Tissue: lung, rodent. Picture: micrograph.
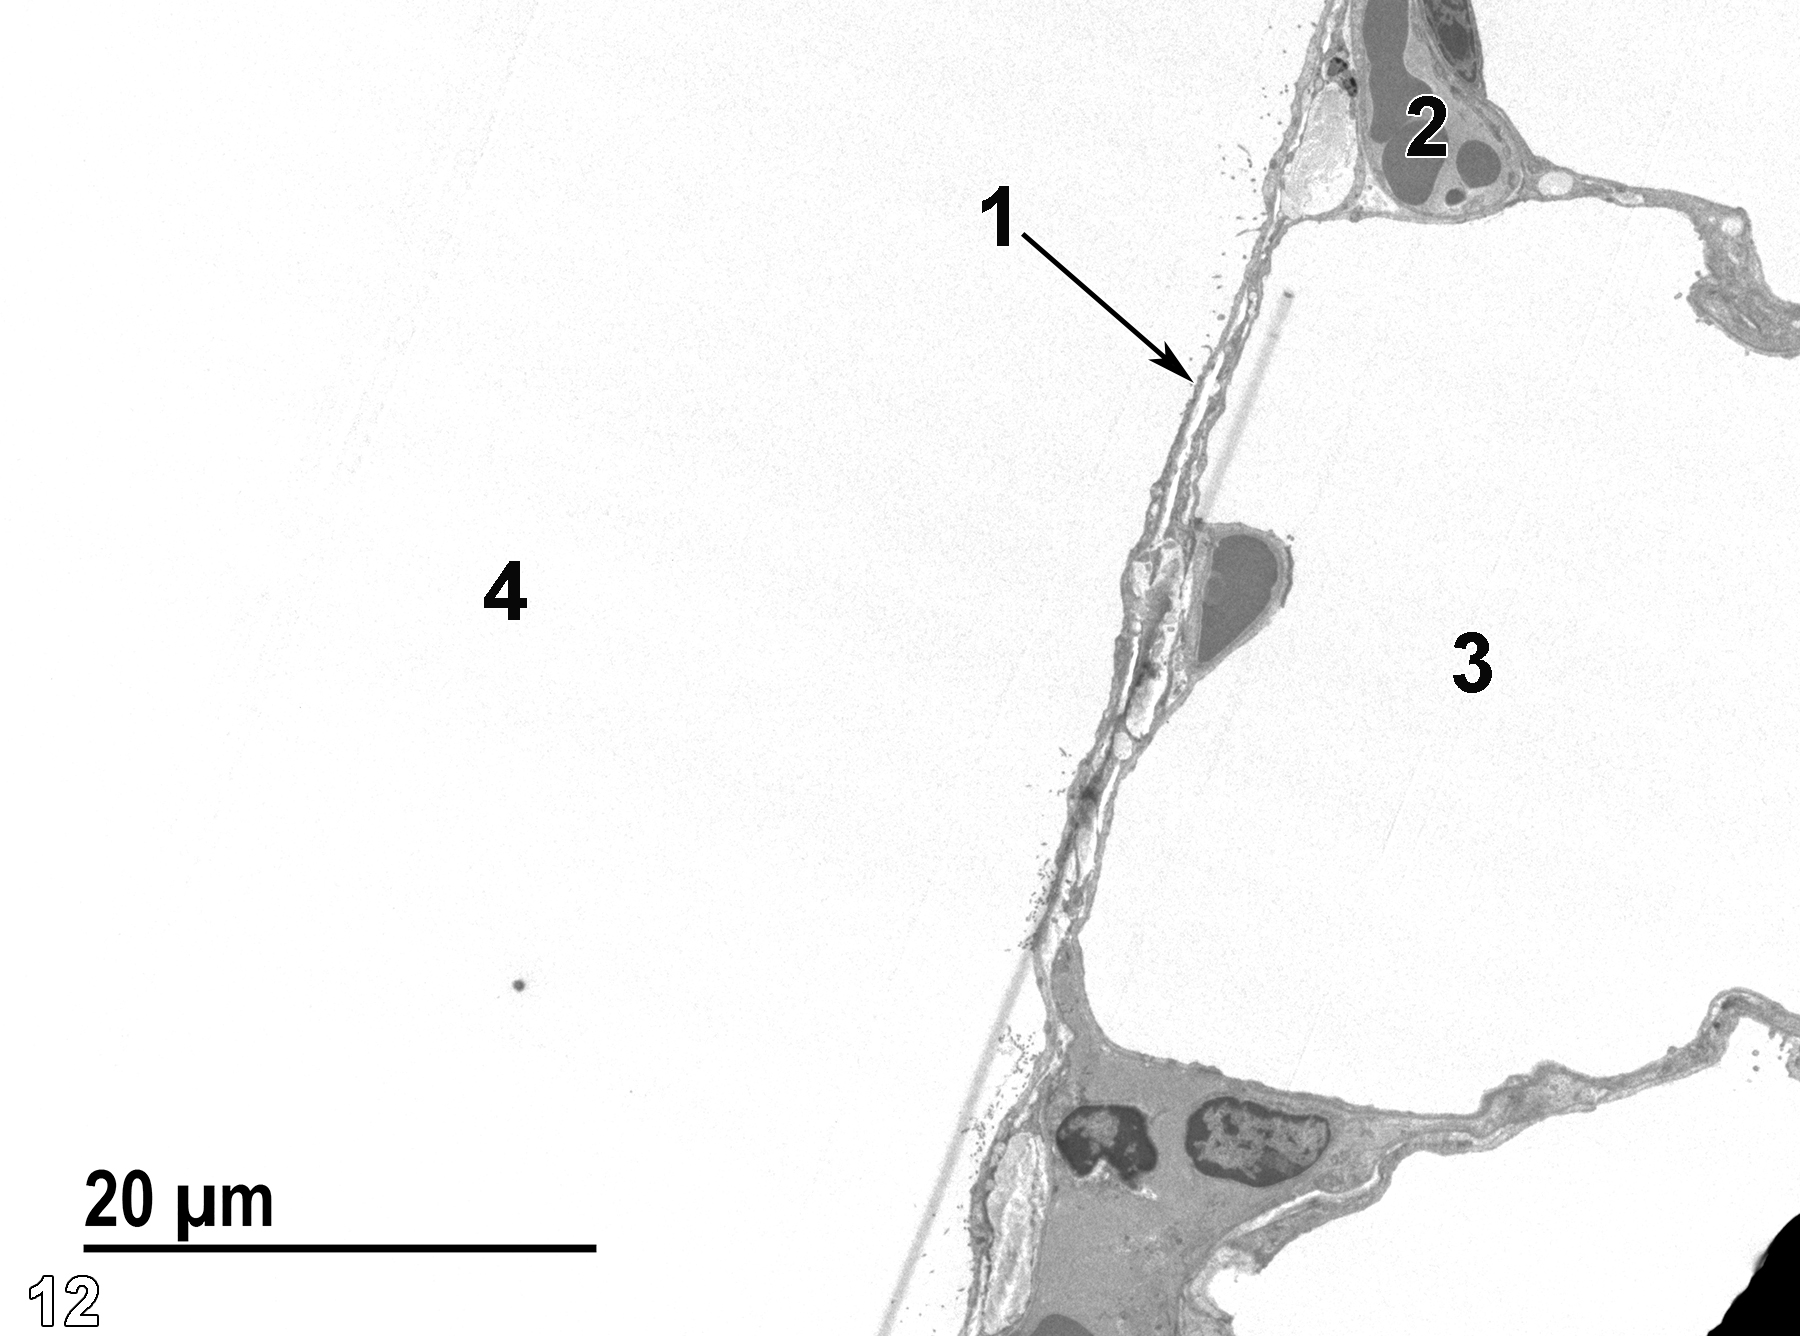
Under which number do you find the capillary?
2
